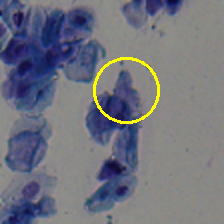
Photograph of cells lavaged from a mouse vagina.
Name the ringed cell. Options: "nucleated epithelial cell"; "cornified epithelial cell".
cornified epithelial cell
